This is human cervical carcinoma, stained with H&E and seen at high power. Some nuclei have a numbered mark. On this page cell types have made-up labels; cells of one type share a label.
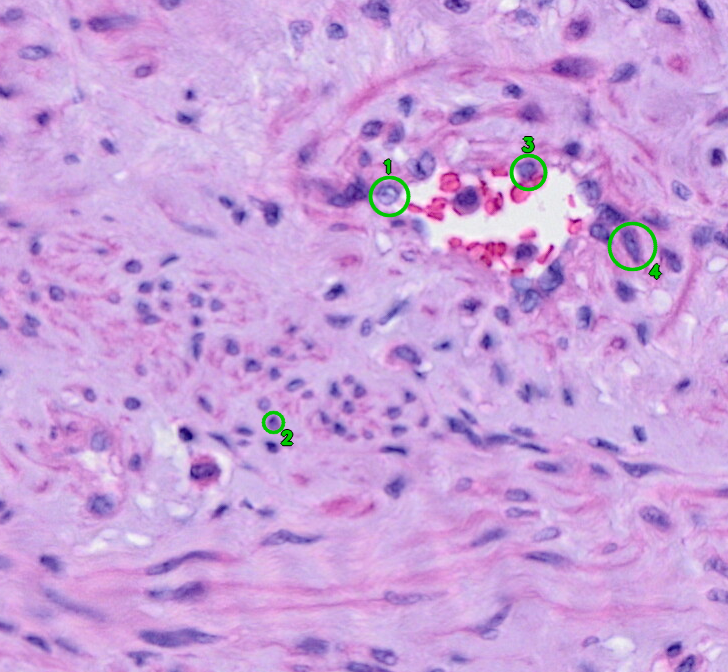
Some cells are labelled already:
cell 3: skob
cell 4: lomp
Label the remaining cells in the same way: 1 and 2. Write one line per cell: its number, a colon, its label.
1: skob
2: lomp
